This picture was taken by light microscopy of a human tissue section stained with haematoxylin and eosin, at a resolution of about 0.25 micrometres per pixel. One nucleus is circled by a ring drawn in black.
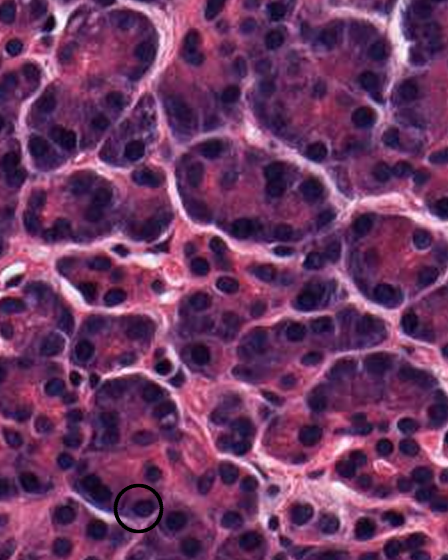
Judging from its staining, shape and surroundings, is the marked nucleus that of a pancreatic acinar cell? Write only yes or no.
yes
